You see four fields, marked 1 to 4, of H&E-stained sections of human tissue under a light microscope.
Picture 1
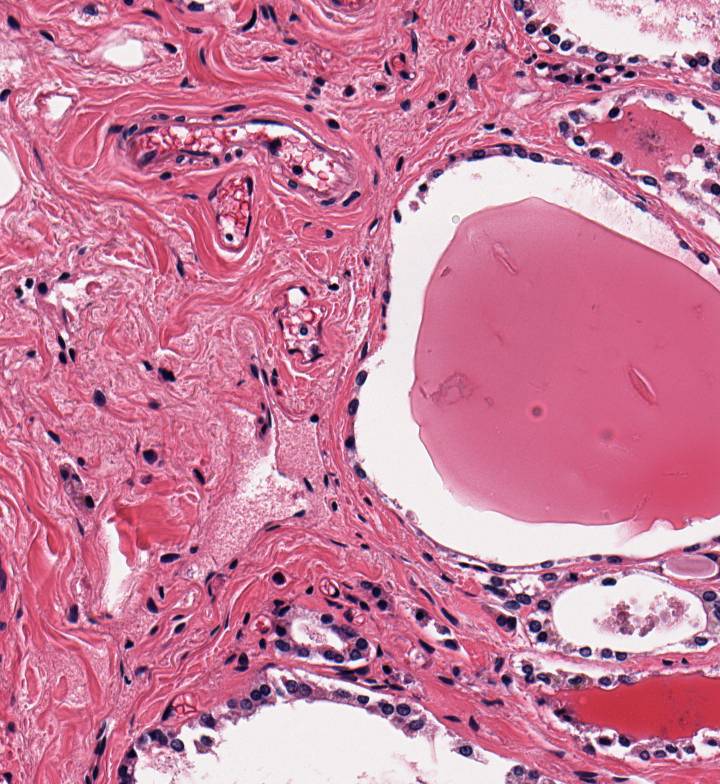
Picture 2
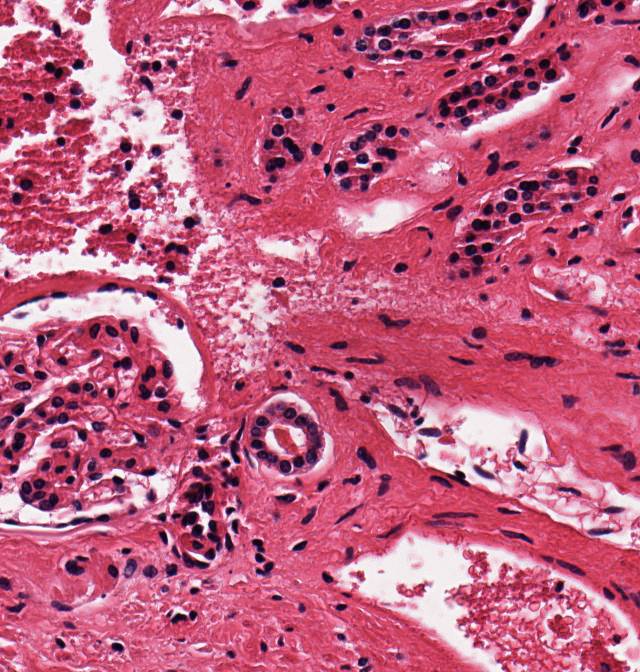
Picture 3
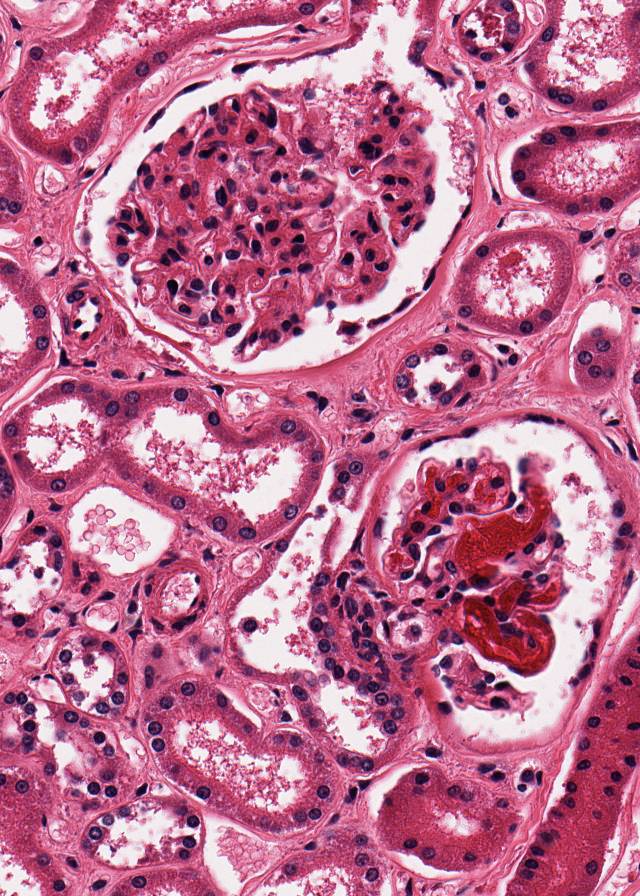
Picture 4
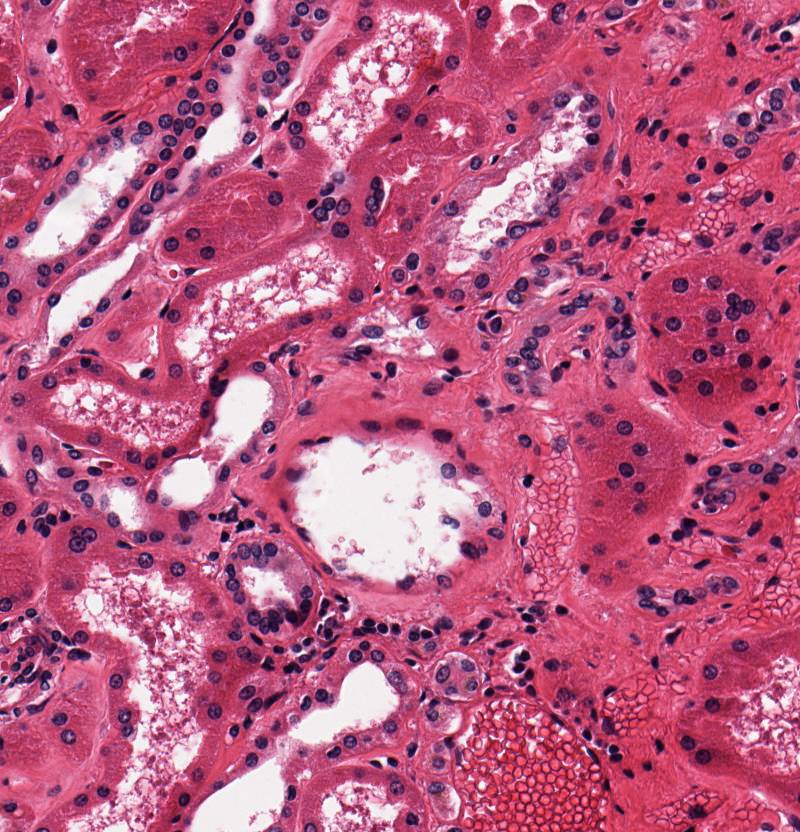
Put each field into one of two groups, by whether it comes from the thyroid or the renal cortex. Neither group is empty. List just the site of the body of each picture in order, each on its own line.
thyroid
renal cortex
renal cortex
renal cortex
